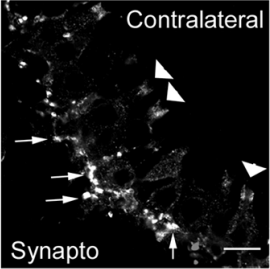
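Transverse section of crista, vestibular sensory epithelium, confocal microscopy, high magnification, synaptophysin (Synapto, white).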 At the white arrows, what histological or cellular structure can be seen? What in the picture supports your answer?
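Arrows point to small, intensely bright round puncta. The puncta sit at the base of and between rounded cell profiles.
Conclusion: efferent terminals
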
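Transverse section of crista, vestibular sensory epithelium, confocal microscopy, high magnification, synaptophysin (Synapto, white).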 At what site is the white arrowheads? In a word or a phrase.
top of calyces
